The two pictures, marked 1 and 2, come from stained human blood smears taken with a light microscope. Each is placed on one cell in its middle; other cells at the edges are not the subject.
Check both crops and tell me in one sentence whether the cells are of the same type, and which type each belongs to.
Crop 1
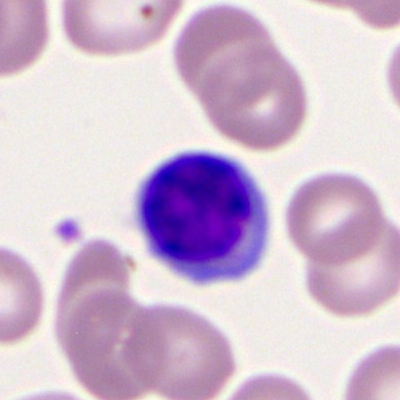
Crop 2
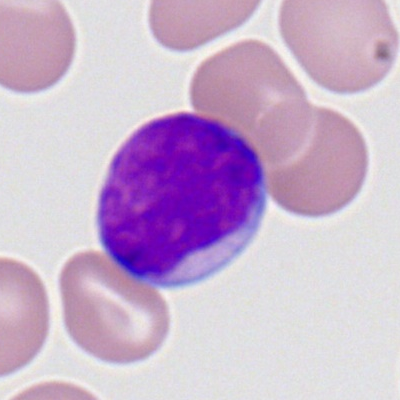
No, crop 1 offers a lymphocyte, while crop 2 offers a blast.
